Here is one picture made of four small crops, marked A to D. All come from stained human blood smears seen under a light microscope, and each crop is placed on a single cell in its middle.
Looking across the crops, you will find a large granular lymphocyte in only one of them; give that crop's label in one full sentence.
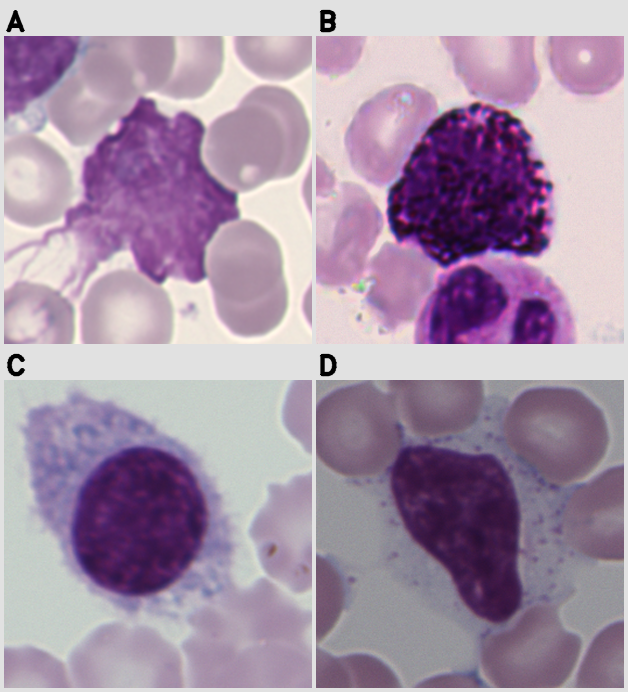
It is crop D that shows a large granular lymphocyte.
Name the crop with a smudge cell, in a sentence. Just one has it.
The sole crop showing a smudge cell is crop A.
